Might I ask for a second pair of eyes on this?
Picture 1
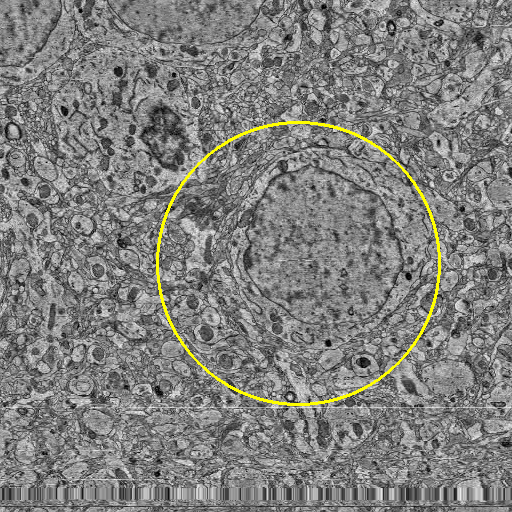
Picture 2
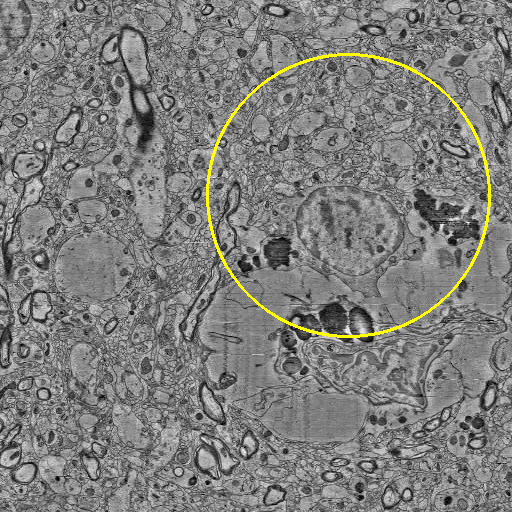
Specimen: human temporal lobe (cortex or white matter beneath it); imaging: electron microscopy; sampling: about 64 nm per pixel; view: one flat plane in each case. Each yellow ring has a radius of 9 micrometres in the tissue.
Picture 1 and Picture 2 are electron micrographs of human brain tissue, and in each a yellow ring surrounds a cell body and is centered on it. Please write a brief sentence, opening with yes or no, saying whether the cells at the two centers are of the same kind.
No, the cells are of two kinds.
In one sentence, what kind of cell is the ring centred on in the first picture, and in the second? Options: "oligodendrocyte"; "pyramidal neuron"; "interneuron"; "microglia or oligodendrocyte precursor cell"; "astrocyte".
The cell at the centre of the second ring is an oligodendrocyte; the first ring's cell is a pyramidal neuron.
